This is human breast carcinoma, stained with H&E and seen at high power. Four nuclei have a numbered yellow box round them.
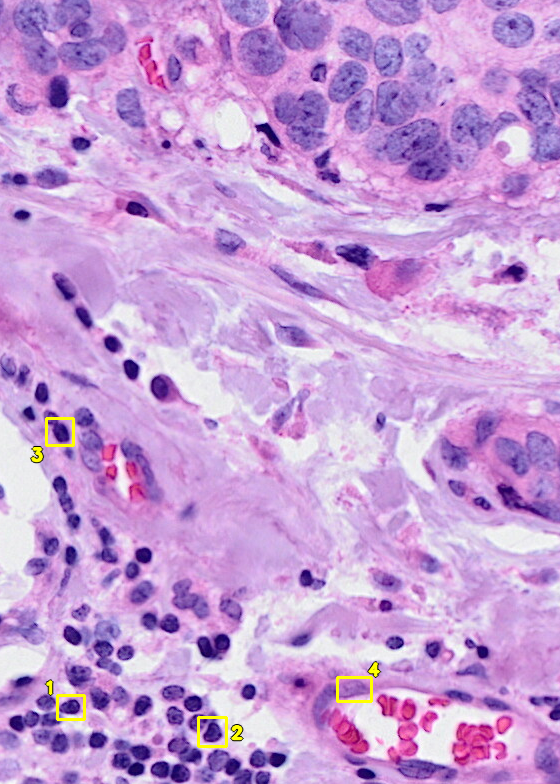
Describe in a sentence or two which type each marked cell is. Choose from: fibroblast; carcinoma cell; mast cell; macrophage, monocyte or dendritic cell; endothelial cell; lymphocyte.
Cell 1 is a lymphocyte, cell 2 is a lymphocyte, cell 3 is a lymphocyte and cell 4 is an endothelial cell.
